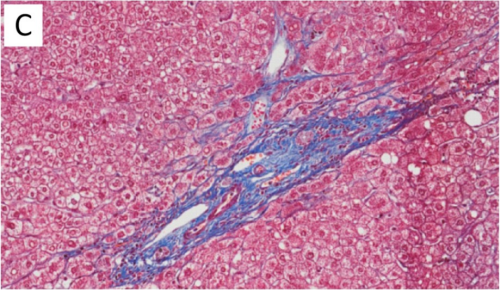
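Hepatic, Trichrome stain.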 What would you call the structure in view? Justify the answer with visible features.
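Blue collagen surrounds small vessels of a portal area. Thin blue fibrous strands extend outward from it into the surrounding hepatocytes. That points to this answer: delicate periportal fibrous spikes.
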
